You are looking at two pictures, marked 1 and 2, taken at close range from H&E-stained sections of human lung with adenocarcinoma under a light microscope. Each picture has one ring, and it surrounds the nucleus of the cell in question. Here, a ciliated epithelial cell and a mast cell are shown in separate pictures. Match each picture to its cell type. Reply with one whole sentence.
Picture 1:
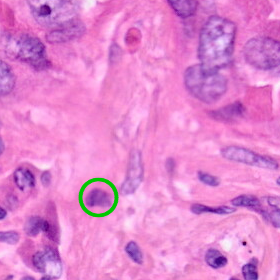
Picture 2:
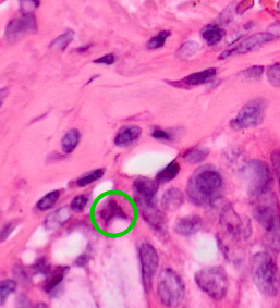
Picture 1 is of a mast cell, and picture 2 is of a ciliated epithelial cell.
